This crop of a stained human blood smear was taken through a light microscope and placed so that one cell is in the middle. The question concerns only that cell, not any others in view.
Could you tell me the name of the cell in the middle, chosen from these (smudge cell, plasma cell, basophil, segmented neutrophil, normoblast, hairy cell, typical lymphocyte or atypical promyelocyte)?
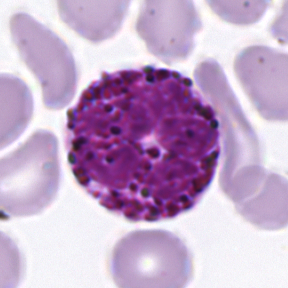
basophil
